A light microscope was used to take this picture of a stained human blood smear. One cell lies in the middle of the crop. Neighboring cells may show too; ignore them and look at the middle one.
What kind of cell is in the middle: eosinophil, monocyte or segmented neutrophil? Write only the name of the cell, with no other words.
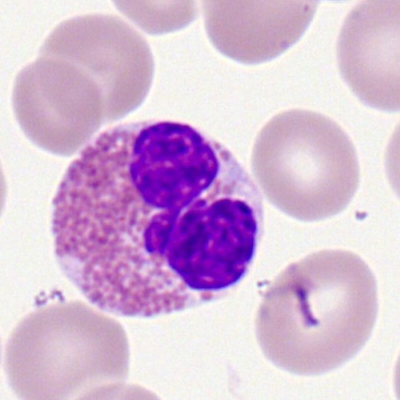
eosinophil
